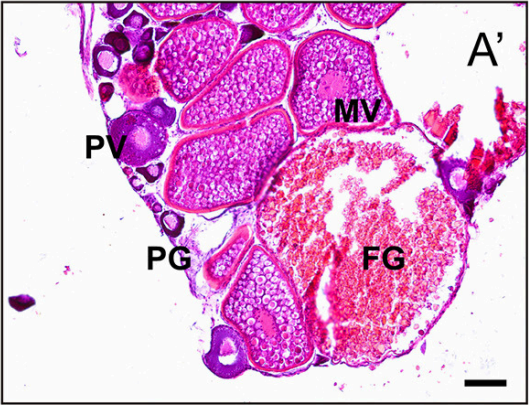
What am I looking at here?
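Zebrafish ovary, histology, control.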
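The bulk of it is taken up by large oocytes, pressed against one another into rounded polygons. Their cytoplasm is packed with pink granular yolk, and each is rimmed by a thin, bright pink envelope. One very large oocyte holds more reddish, coarse yolk and is cracked open by sectioning. Around the edges lie smaller oocytes. Some have dense purple cytoplasm and a central round nucleus. Others are somewhat larger, with a pale rim of vacuoles.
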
